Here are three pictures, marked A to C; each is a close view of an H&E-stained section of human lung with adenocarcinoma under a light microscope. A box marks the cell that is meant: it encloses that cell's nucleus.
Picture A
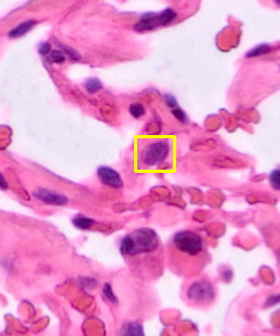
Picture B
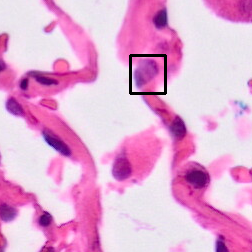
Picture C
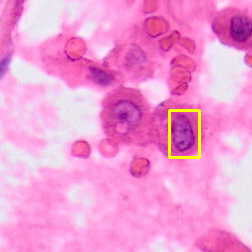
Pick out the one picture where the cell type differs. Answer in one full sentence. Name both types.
The different one is picture C; it shows a “macrophage or monocyte”, whereas all the others show type I pneumocytes.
